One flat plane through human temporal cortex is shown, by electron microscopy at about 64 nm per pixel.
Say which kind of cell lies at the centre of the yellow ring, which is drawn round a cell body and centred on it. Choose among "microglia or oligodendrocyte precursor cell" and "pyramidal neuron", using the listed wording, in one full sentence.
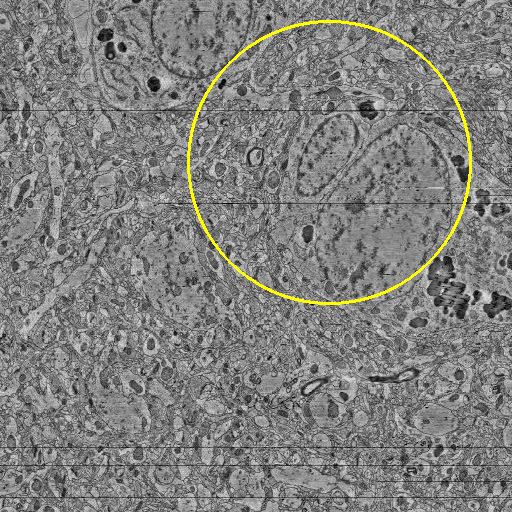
Going by the list, the cell at the yellow ring's centre is a microglial cell or oligodendrocyte precursor cell.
